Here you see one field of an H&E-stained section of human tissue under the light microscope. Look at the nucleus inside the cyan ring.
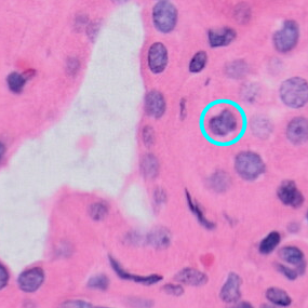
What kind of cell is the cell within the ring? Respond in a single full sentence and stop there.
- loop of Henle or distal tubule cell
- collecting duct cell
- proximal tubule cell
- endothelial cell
Recorded by type, the cell within the ring is a loop of Henle or distal tubule cell.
